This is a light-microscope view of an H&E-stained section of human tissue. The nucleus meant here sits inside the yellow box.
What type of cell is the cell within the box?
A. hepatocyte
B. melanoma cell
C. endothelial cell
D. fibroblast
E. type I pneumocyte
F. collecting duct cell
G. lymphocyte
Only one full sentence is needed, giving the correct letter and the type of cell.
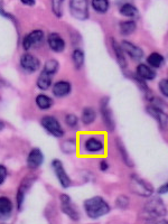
The correct pick is option G; the cell within the box is a lymphocyte.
